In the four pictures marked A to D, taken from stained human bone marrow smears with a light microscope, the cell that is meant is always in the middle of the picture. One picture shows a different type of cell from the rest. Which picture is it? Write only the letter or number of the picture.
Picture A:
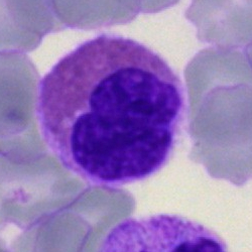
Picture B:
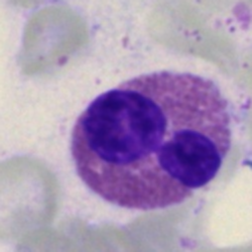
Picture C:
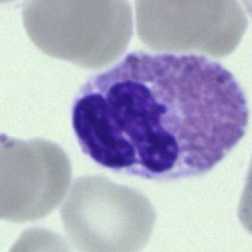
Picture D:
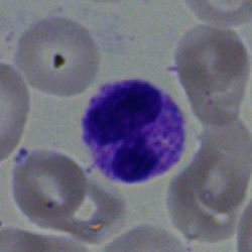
D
